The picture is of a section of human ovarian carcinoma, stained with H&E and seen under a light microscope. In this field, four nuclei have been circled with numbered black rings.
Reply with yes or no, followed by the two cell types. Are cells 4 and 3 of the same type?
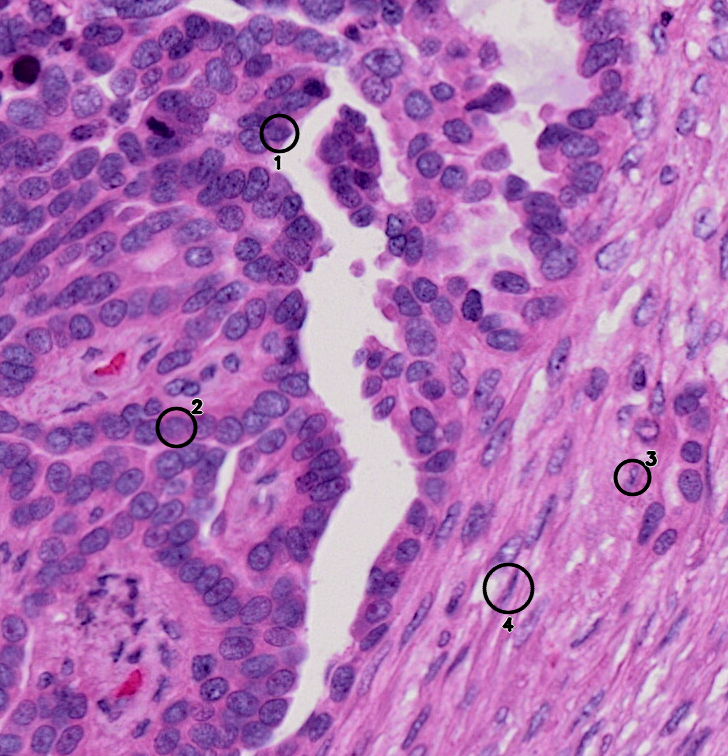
Yes, the pair formed by cells 4 and 3 consists of two fibroblasts.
